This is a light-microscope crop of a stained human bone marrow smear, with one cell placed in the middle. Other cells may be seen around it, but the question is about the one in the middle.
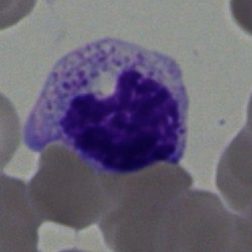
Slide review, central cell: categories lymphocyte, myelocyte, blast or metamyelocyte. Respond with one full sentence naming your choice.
Whatever else lies nearby, the middle cell is a myelocyte.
